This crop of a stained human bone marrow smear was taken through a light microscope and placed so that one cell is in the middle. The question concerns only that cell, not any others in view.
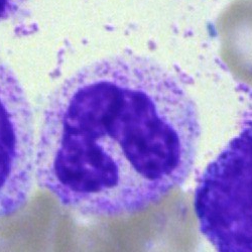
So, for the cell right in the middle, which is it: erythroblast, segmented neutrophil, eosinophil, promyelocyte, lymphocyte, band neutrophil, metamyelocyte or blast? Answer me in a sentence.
This particular crop is centered on a band neutrophil.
